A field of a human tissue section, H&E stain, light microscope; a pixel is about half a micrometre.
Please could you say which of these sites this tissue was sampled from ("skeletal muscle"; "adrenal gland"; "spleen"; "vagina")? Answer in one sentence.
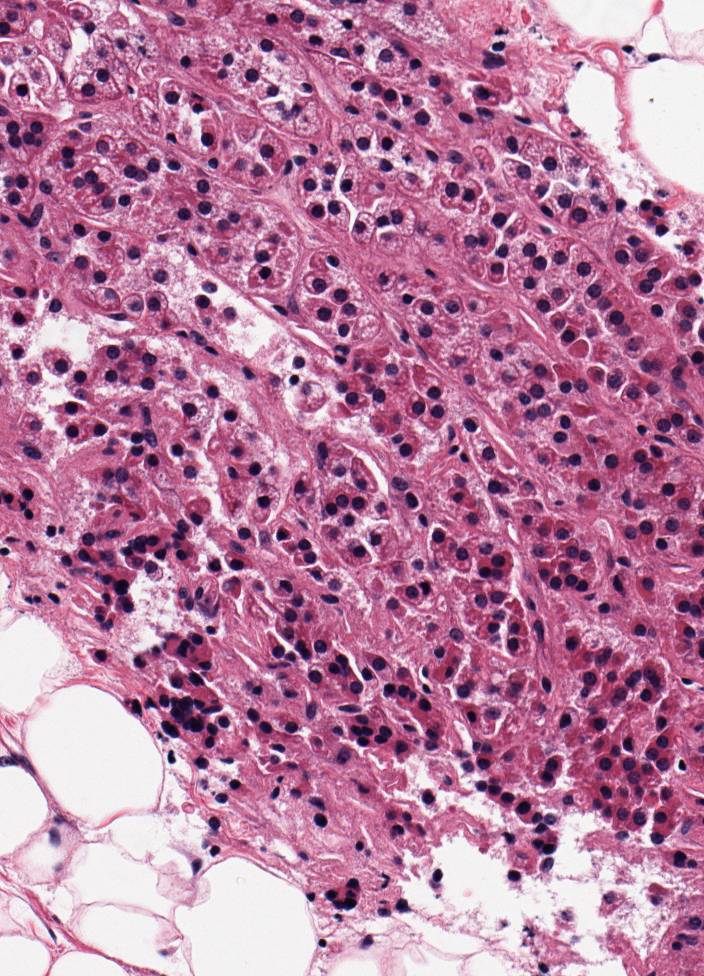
The site this tissue was sampled from is the adrenal gland.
